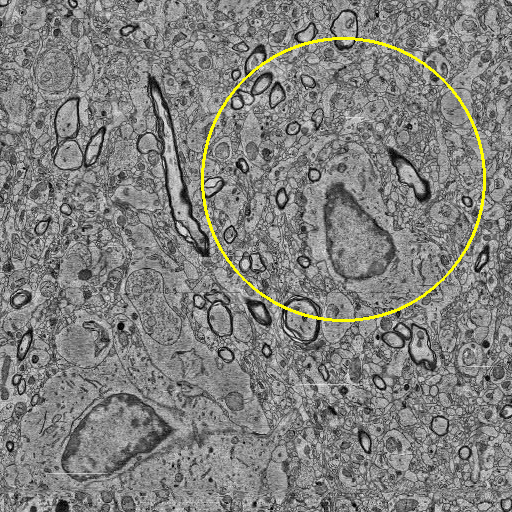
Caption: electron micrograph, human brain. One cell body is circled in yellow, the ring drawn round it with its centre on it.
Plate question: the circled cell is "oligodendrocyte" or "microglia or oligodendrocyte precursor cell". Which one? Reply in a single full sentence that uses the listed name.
The yellow ring on the plate is centred on a microglial cell or oligodendrocyte precursor cell, going by the listed names.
